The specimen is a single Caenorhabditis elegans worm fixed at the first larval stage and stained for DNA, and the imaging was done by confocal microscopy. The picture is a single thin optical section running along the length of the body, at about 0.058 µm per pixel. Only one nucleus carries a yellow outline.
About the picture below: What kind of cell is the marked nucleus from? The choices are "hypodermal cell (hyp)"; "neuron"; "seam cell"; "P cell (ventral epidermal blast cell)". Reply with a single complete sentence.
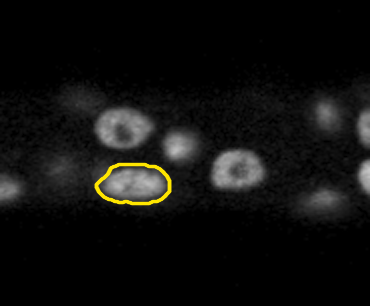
The marked nucleus belongs to a P cell (ventral epidermal blast cell).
